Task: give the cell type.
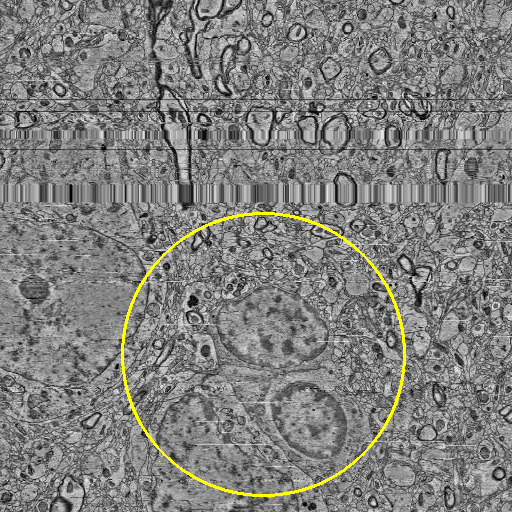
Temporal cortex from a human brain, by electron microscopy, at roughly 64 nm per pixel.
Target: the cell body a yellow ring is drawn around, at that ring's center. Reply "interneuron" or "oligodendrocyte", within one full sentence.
In this picture, the cell whose body lies at the ring's center is an oligodendrocyte.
